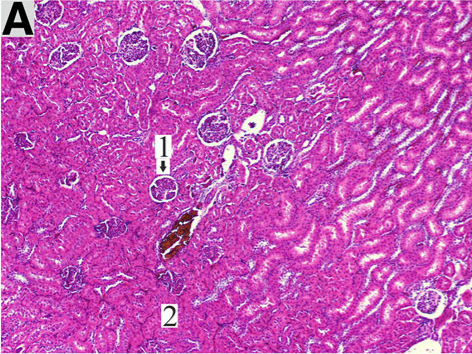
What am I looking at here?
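Kidney tissue with round glomeruli, each a purple tuft of cells in a clear capsular space, scattered among closely packed tubules lined by pink-staining epithelium. Toward one side the tubules run in parallel rows with narrow lumens, and a vessel filled with red blood cells lies in the middle of the field.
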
